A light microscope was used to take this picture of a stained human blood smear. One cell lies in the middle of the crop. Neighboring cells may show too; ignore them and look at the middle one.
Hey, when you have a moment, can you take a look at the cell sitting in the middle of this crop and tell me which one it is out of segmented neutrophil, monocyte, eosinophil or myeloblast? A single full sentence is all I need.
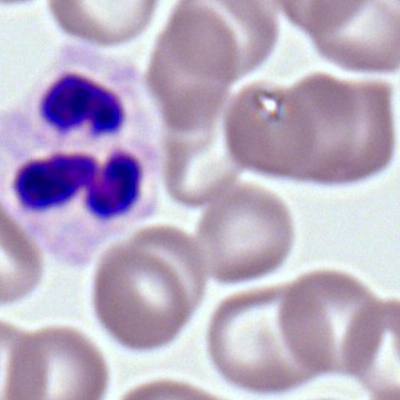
Positioned in the middle of the crop is a segmented neutrophil.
